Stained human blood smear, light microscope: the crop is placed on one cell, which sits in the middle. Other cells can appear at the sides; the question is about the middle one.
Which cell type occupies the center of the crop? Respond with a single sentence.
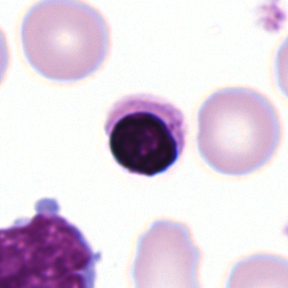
This crop has a normoblast at its centre.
